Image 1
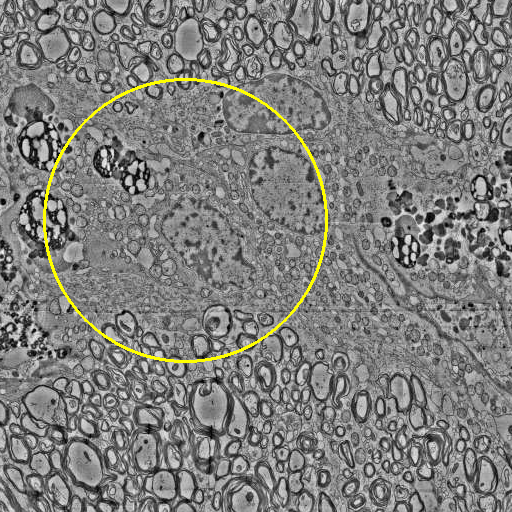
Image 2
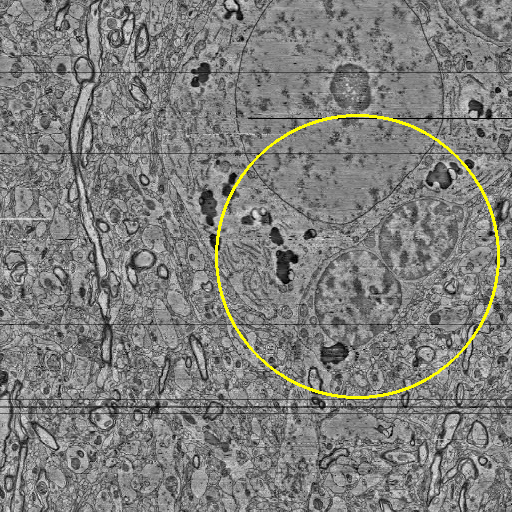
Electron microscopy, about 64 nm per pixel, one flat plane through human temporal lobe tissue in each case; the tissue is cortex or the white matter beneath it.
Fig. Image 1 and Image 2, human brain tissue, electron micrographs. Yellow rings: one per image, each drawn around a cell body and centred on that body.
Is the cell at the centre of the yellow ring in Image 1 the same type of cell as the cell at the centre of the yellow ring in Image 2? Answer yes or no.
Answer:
no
